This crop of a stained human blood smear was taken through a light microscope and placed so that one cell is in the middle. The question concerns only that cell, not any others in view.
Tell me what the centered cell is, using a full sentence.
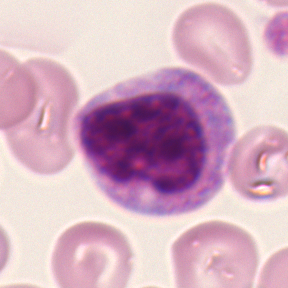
Here the centrally located cell is a metamyelocyte.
